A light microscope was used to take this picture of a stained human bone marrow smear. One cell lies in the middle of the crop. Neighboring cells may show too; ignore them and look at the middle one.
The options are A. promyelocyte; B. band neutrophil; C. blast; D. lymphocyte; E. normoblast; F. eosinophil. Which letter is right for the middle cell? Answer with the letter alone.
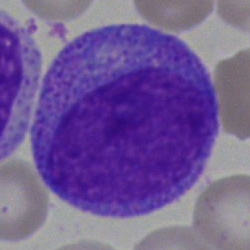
A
